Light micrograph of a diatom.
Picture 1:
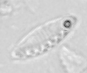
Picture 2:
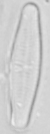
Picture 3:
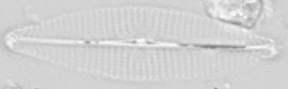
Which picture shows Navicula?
Picture 3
